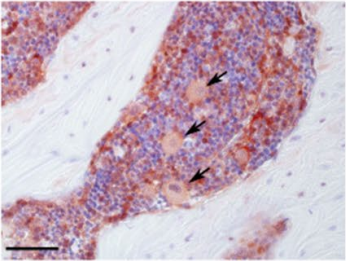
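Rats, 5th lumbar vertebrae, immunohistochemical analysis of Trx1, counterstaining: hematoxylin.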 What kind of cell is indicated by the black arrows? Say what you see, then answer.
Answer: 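The arrowed cells are much larger than the surrounding cells. That points to this answer: megakaryocytes.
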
